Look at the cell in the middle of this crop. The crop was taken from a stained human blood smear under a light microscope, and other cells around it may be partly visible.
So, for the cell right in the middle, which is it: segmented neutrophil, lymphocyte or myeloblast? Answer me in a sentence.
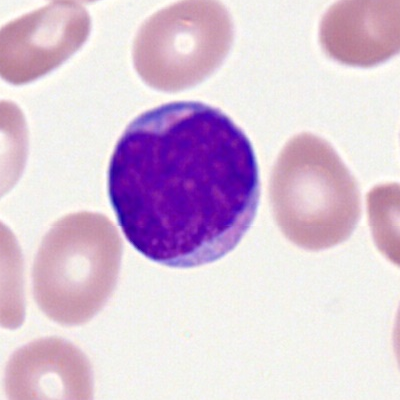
The middle cell in this particular crop is a myeloblast.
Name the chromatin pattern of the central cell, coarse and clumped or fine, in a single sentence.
Its nuclear chromatin is gathered into coarse clumps.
